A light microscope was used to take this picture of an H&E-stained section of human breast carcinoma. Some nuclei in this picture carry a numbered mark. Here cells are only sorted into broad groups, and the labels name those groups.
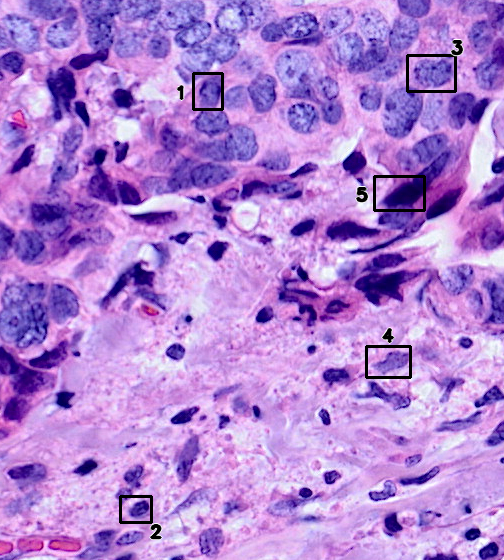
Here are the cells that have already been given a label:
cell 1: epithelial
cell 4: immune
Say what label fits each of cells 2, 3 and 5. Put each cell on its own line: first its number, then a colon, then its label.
2: immune
3: epithelial
5: epithelial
